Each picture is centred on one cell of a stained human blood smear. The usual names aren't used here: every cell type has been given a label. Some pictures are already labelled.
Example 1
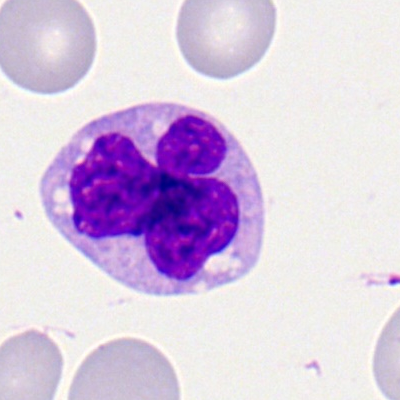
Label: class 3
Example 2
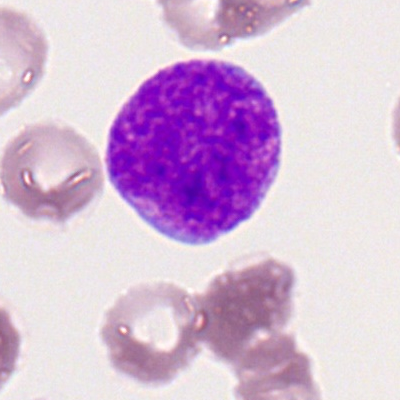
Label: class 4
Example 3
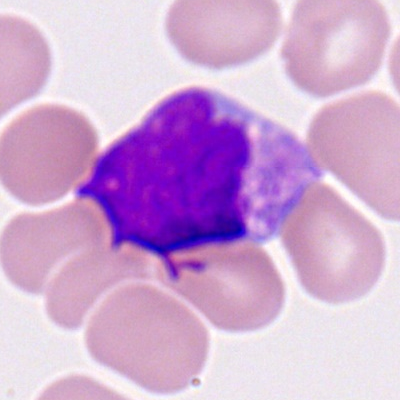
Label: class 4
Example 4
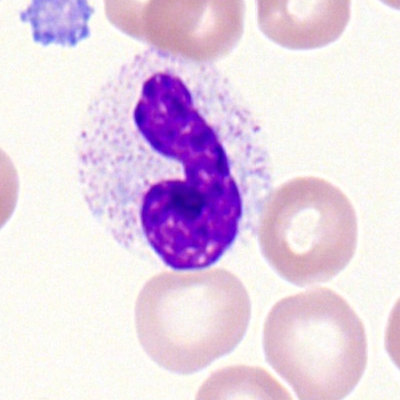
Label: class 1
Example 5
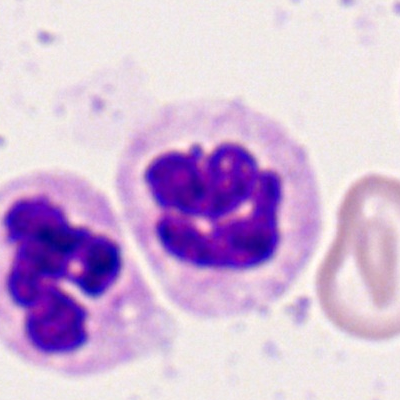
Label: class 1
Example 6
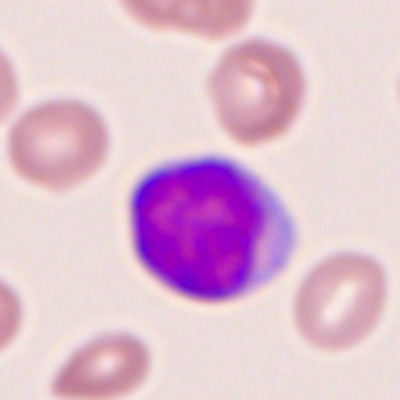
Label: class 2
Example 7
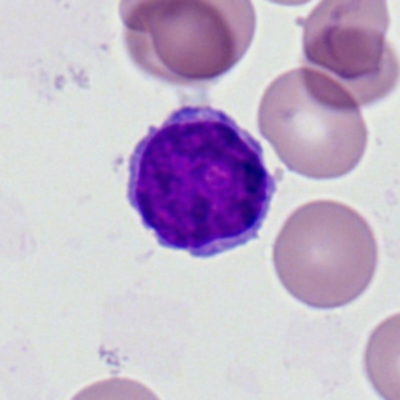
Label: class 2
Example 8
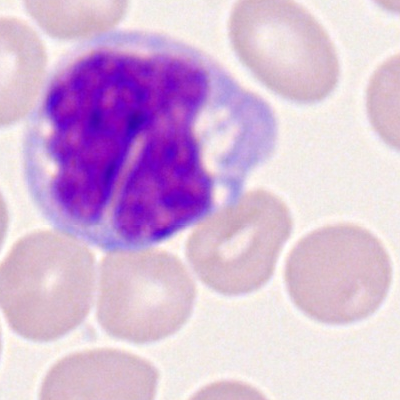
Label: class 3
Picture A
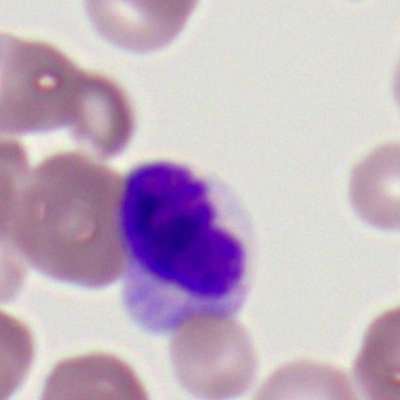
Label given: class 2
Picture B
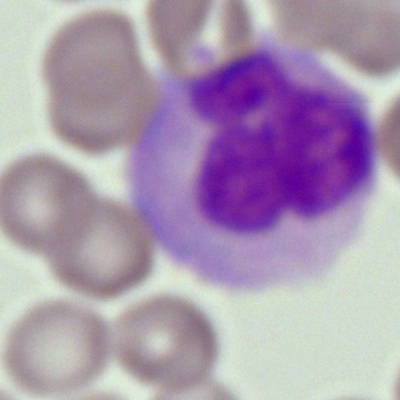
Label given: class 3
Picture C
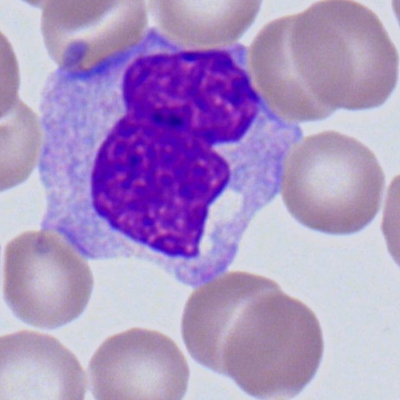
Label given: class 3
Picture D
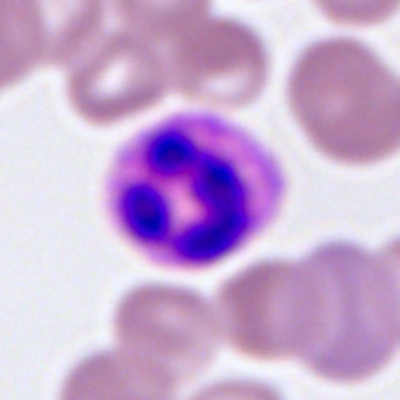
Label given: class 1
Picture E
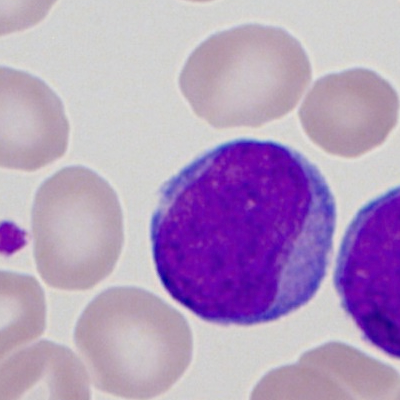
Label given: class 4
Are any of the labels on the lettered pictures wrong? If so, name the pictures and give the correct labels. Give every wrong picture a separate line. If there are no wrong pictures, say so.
Every label is right.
